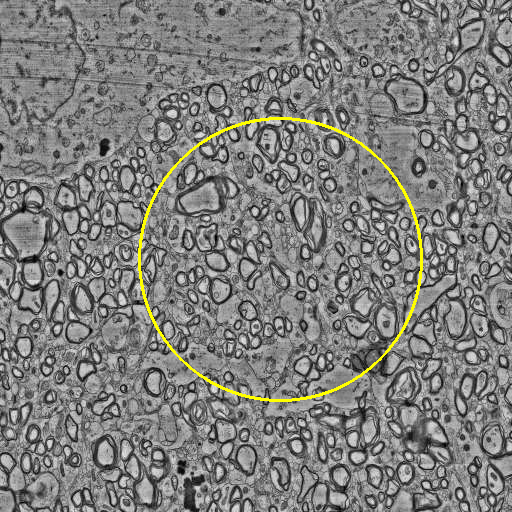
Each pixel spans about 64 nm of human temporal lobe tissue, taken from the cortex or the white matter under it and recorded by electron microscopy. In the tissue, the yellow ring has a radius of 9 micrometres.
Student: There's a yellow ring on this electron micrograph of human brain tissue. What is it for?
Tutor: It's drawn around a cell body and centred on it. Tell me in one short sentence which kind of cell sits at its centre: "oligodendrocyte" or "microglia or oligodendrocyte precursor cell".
The cell at the centre of the ring is a microglial cell or oligodendrocyte precursor cell.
